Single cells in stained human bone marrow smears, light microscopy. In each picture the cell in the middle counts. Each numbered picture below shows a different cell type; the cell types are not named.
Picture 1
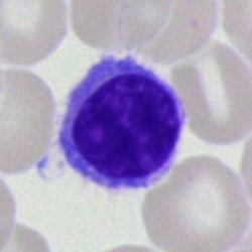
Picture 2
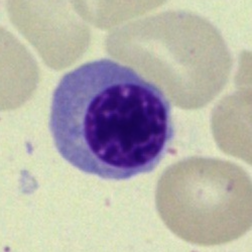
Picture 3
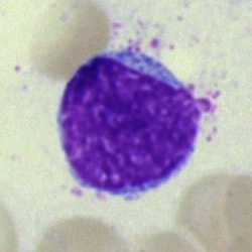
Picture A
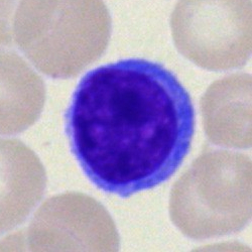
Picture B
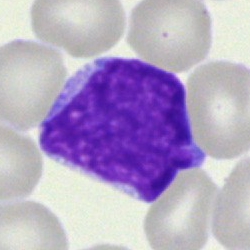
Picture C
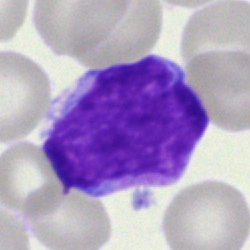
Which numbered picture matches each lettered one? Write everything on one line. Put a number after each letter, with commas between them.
A 1, B 3, C 3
